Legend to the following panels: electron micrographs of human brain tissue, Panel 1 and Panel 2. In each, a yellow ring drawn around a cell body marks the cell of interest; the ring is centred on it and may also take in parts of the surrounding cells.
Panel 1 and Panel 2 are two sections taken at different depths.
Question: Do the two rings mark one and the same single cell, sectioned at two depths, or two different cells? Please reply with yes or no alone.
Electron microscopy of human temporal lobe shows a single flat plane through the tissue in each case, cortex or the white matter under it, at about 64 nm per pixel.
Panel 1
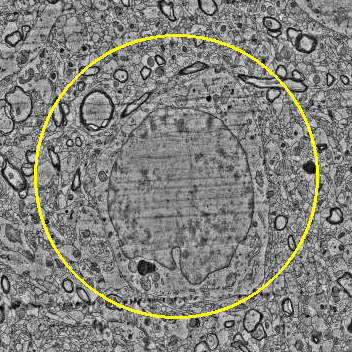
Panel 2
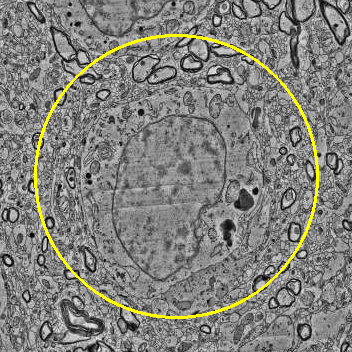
no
